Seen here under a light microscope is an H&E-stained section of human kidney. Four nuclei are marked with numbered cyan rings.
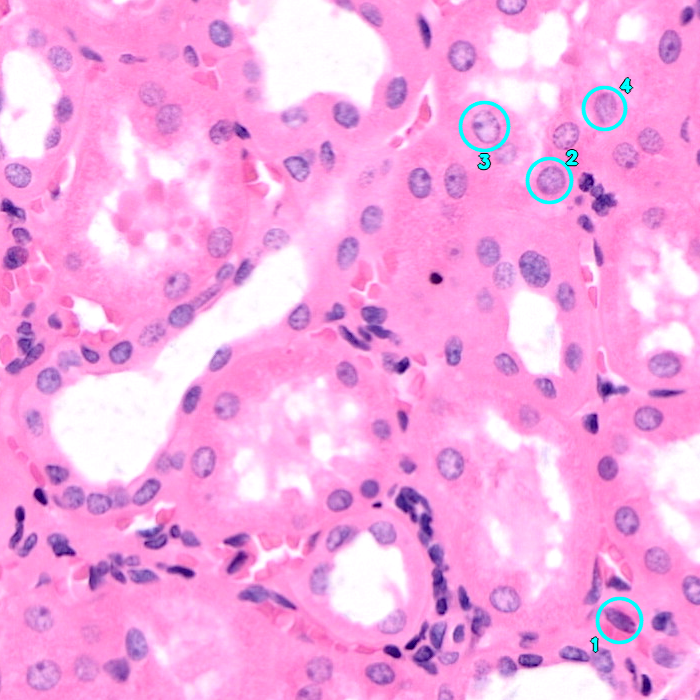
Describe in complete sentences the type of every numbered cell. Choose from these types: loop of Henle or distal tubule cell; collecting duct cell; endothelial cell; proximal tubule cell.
Cell 1 is an endothelial cell, cell 2 is a proximal tubule cell, cell 3 is a proximal tubule cell and cell 4 is a proximal tubule cell.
